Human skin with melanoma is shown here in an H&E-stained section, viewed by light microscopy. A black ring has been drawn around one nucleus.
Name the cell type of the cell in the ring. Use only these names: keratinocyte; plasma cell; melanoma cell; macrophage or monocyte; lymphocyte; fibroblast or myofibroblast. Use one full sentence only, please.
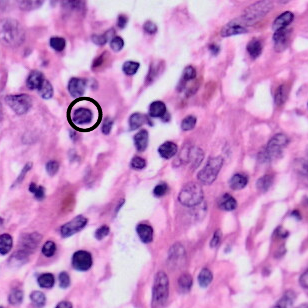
Just put down that the cell in the ring is a lymphocyte.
